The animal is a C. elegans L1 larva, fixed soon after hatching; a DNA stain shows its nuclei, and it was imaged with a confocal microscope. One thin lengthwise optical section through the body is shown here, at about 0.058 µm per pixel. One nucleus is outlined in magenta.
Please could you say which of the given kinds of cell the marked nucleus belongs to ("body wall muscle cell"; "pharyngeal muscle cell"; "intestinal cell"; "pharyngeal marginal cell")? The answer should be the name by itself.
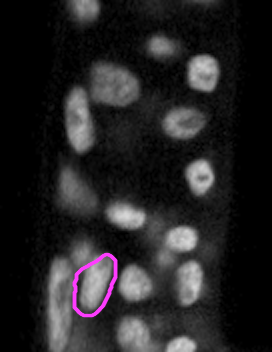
pharyngeal marginal cell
